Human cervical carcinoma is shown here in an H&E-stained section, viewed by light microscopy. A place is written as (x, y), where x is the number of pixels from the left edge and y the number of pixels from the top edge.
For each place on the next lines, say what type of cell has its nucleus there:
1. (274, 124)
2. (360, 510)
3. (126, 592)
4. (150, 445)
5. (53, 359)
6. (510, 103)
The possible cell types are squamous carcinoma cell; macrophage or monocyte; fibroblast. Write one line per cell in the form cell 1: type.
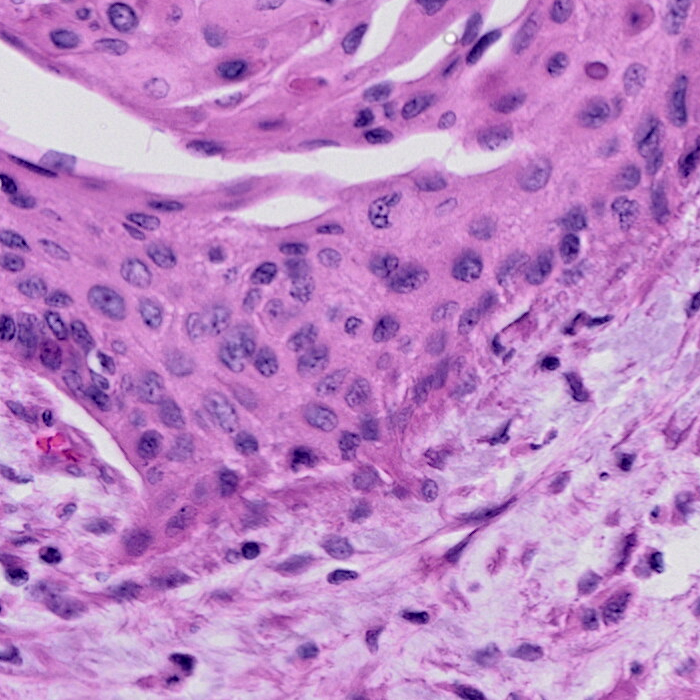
cell 1: squamous carcinoma cell
cell 2: fibroblast
cell 3: fibroblast
cell 4: squamous carcinoma cell
cell 5: squamous carcinoma cell
cell 6: squamous carcinoma cell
